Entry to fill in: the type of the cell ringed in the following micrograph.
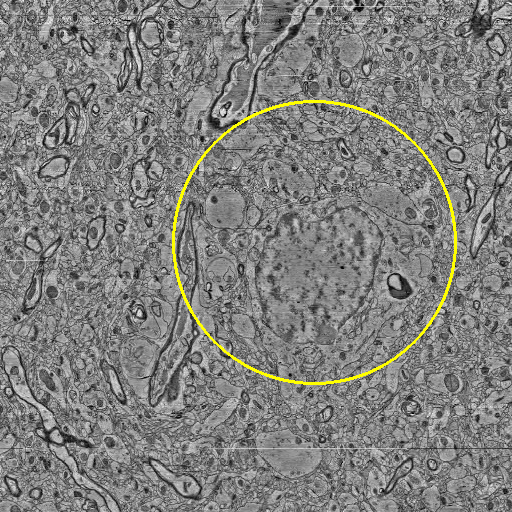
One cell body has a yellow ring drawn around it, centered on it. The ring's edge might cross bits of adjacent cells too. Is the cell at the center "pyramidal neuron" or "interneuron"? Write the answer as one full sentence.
This entry names an interneuron as the cell whose body lies at the ring's center.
